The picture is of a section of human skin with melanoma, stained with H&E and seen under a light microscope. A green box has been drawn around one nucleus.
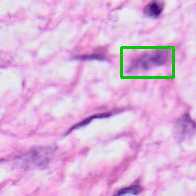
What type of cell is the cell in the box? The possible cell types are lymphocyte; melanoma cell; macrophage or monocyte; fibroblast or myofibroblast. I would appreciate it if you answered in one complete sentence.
In the tissue under study, the cell in the box is a fibroblast or myofibroblast.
